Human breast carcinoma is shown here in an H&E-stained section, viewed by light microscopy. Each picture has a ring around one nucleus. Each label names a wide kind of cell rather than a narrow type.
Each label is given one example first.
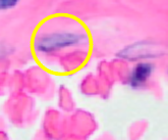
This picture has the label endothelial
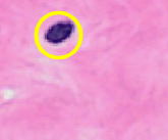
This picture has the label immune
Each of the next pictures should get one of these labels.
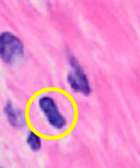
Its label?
immune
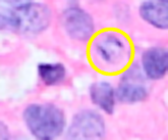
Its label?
endothelial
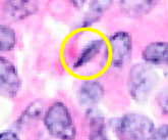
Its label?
endothelial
